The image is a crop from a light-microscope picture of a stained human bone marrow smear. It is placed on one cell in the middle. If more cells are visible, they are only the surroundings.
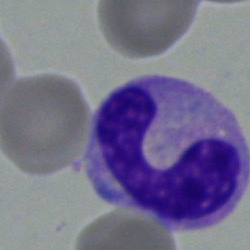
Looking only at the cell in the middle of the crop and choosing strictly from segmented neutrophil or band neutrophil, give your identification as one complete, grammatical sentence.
In the centre of this crop there is a band neutrophil.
